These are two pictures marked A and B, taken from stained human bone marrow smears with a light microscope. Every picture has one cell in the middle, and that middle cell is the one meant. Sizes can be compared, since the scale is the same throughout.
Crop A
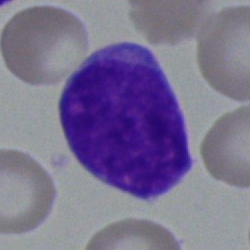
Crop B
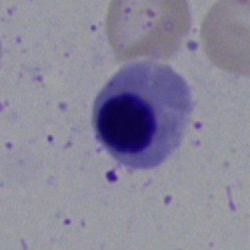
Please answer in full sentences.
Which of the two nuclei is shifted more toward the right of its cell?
Seen within its cell, the nucleus in crop A lies further toward the right.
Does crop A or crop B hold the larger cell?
Crop A holds the larger cell; it covers about 2 times the area of the cell in crop B.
